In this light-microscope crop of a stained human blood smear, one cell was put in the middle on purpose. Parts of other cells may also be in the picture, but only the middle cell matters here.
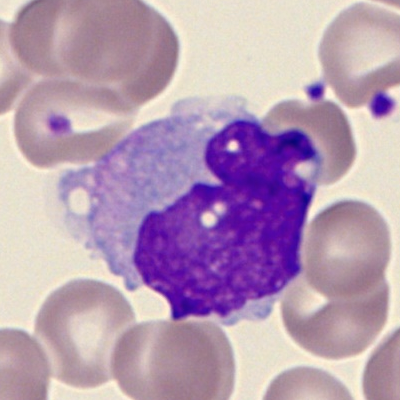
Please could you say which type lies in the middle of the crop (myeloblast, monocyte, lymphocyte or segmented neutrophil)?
monocyte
